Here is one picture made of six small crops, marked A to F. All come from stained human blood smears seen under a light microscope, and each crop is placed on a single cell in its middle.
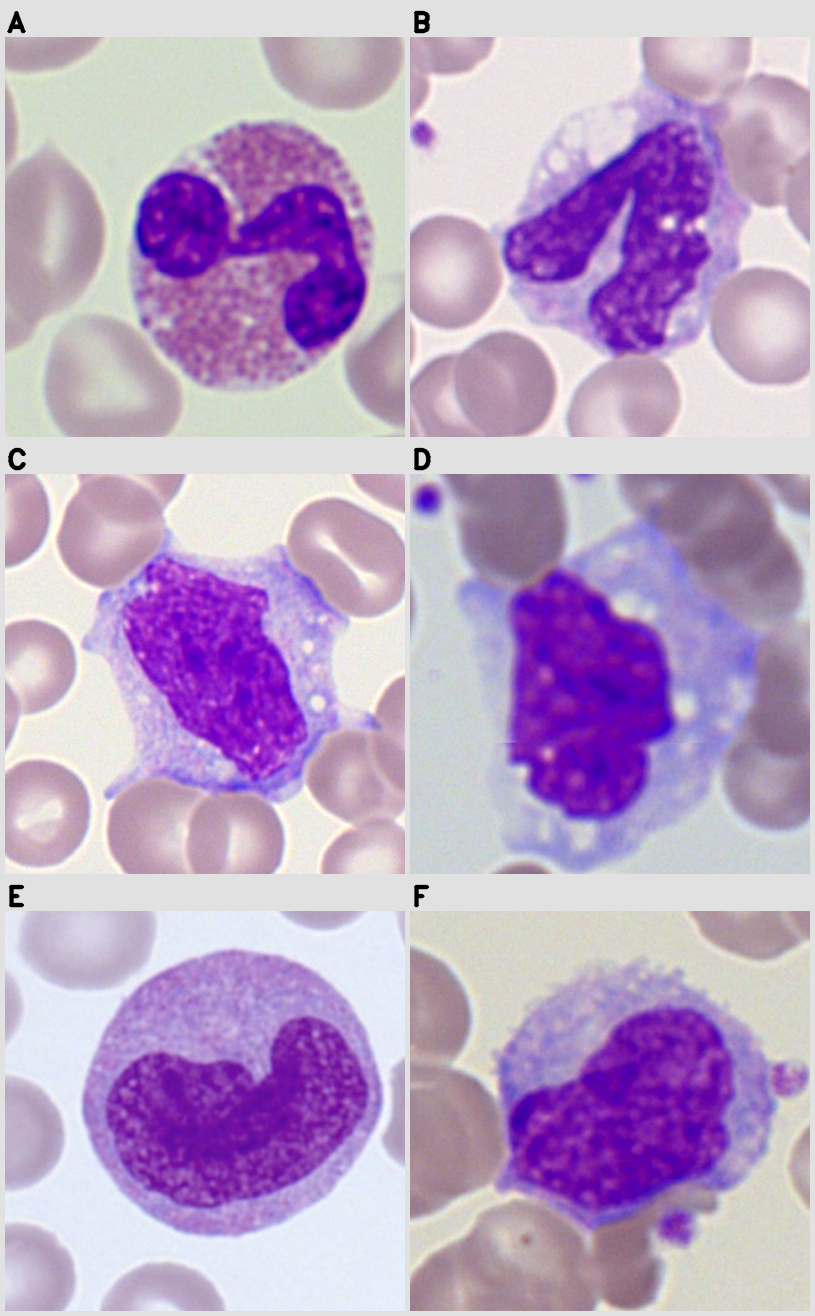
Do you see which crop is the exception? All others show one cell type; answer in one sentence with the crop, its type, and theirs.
The central cell of crop A is an eosinophil, while the other crops show monocytes.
